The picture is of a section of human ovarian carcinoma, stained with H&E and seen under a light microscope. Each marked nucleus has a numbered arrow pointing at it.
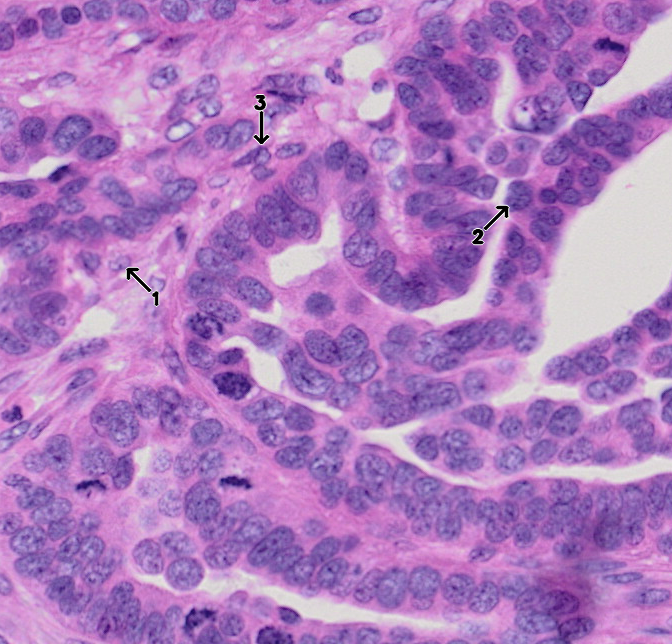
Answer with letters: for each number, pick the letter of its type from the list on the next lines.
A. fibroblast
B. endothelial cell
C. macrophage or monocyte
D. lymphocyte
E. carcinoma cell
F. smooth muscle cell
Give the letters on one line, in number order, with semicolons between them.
A; E; A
